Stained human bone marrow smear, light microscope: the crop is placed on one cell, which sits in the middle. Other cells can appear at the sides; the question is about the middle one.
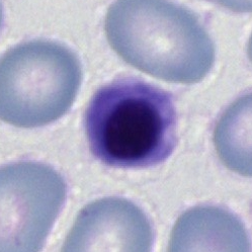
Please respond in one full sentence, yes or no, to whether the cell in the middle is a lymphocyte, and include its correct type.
No, not a lymphocyte: the cell in the middle of this crop is an erythroblast.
